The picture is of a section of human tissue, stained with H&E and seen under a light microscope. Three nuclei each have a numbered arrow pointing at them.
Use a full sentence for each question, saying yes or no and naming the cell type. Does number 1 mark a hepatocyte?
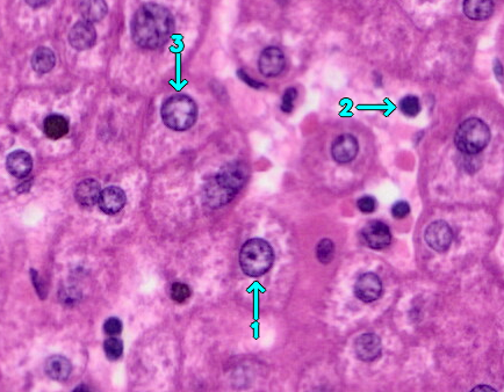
Yes, that is correct: the cell numbered 1 is a hepatocyte.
